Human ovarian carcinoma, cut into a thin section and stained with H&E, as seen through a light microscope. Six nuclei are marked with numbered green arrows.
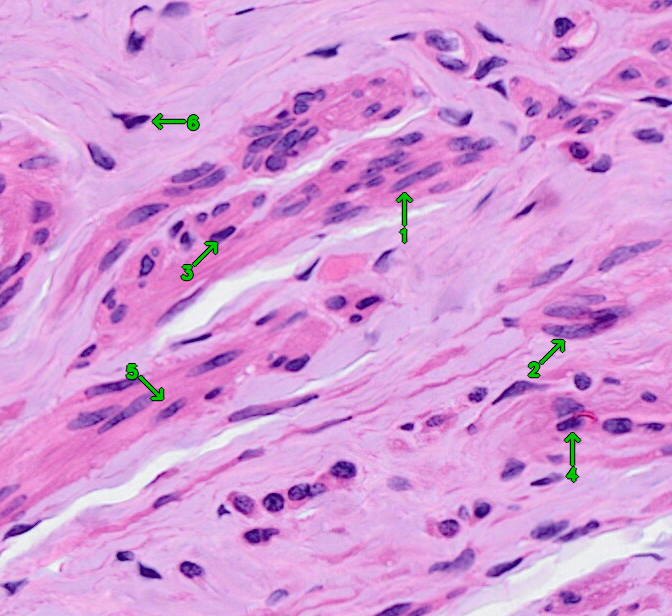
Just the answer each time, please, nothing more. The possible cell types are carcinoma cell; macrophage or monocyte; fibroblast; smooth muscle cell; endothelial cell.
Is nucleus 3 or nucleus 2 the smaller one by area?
3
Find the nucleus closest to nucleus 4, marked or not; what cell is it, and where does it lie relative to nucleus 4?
an endothelial cell above nucleus 4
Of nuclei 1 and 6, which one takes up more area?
6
